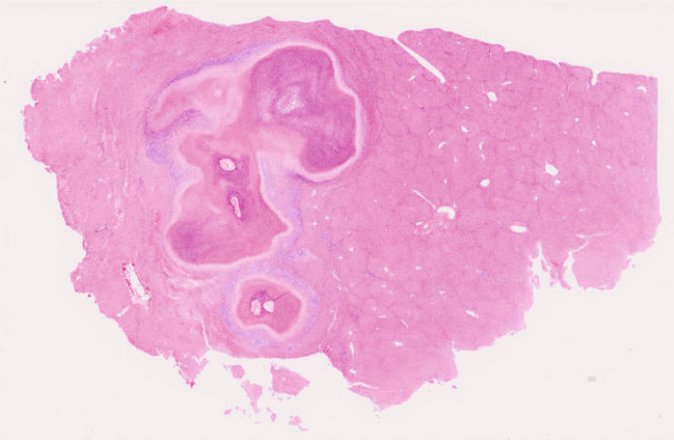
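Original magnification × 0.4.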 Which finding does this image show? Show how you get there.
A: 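Epithelioid granuloma with central necrosis. Several rounded nodular lesions lie within otherwise uniform liver parenchyma. The centres are rimmed by a layered cellular zone with a bluish-purple outer border.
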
